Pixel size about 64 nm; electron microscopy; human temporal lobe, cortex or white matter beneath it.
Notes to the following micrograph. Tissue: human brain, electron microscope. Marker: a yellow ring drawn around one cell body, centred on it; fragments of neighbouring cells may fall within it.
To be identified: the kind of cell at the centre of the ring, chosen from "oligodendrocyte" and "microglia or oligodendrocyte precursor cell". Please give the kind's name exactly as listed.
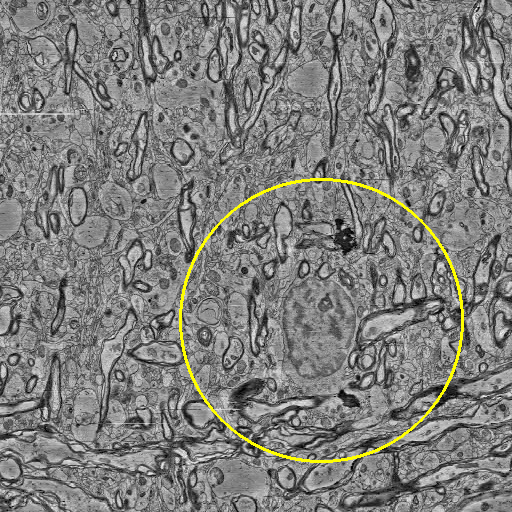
oligodendrocyte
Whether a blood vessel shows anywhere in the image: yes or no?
No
